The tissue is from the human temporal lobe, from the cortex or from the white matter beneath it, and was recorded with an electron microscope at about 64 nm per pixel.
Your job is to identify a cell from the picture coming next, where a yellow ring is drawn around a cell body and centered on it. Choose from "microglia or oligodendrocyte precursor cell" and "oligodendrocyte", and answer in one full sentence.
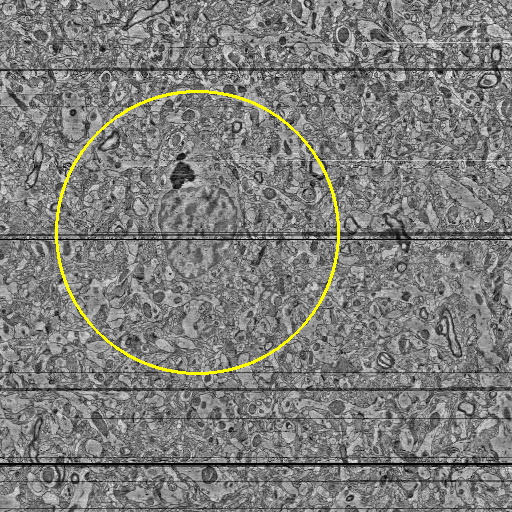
Centered in the yellow ring of the picture is the body of an oligodendrocyte.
